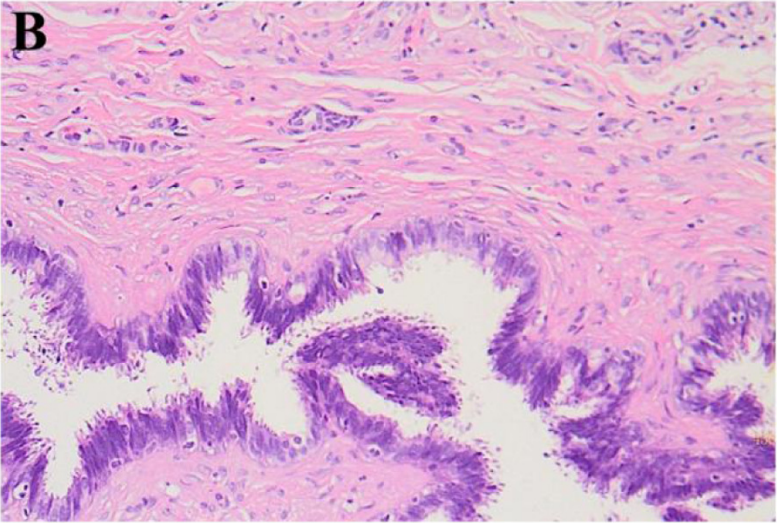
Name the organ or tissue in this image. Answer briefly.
Ciliated columnar epithelium.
